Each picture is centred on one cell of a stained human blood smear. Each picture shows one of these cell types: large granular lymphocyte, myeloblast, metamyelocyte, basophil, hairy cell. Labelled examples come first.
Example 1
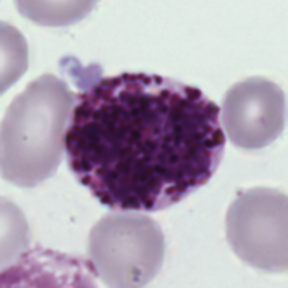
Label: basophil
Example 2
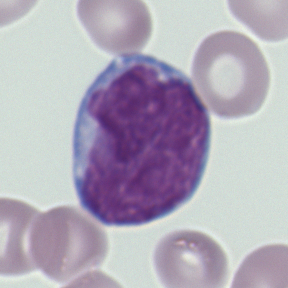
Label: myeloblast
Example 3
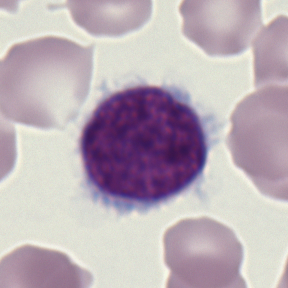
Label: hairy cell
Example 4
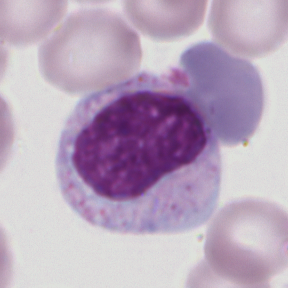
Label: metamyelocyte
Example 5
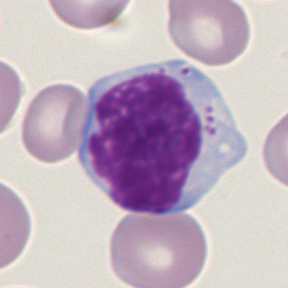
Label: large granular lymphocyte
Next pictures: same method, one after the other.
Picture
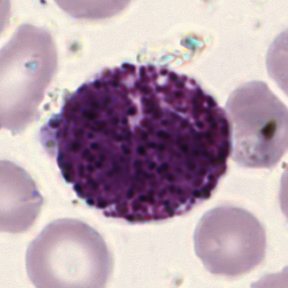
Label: basophil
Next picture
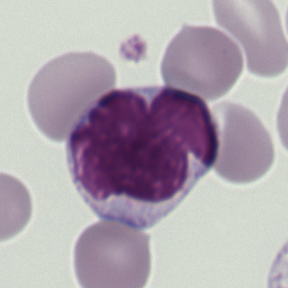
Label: large granular lymphocyte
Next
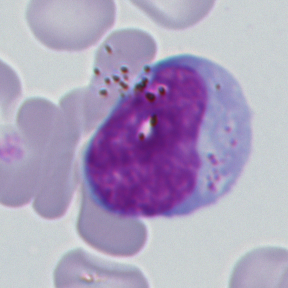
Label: large granular lymphocyte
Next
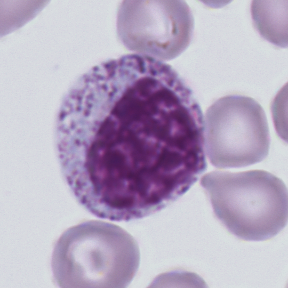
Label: metamyelocyte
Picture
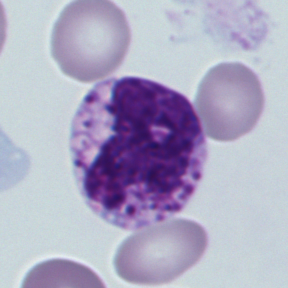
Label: basophil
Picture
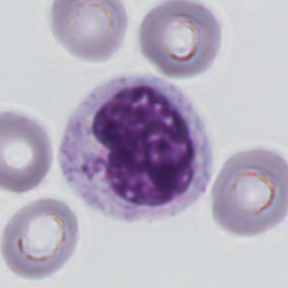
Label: metamyelocyte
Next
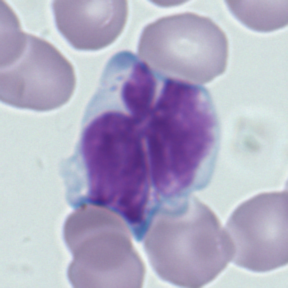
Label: myeloblast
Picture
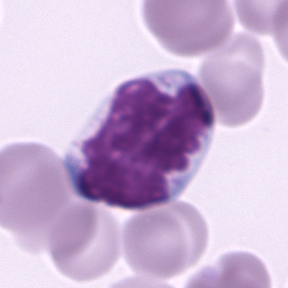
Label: large granular lymphocyte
